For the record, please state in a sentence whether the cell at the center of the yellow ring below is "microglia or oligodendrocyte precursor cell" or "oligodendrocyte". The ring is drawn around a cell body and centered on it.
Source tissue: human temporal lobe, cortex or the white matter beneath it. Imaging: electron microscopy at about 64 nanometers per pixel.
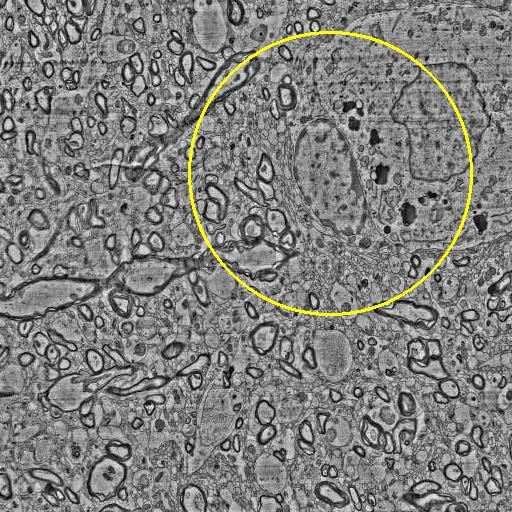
The cell at the ring's center is a microglial cell or oligodendrocyte precursor cell.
